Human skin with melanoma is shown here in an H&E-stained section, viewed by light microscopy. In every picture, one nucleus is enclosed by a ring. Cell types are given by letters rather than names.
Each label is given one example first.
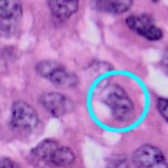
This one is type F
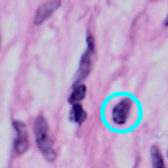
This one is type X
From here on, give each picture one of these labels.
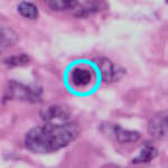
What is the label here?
type X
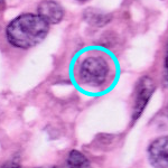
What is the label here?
type F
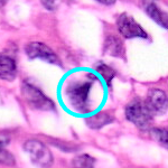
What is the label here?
type F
